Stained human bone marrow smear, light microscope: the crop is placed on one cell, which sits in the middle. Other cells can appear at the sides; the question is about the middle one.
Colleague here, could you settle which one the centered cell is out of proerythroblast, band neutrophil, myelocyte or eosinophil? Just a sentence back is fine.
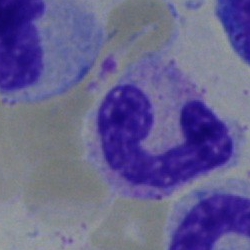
What sits at the centre of this crop is a band neutrophil.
